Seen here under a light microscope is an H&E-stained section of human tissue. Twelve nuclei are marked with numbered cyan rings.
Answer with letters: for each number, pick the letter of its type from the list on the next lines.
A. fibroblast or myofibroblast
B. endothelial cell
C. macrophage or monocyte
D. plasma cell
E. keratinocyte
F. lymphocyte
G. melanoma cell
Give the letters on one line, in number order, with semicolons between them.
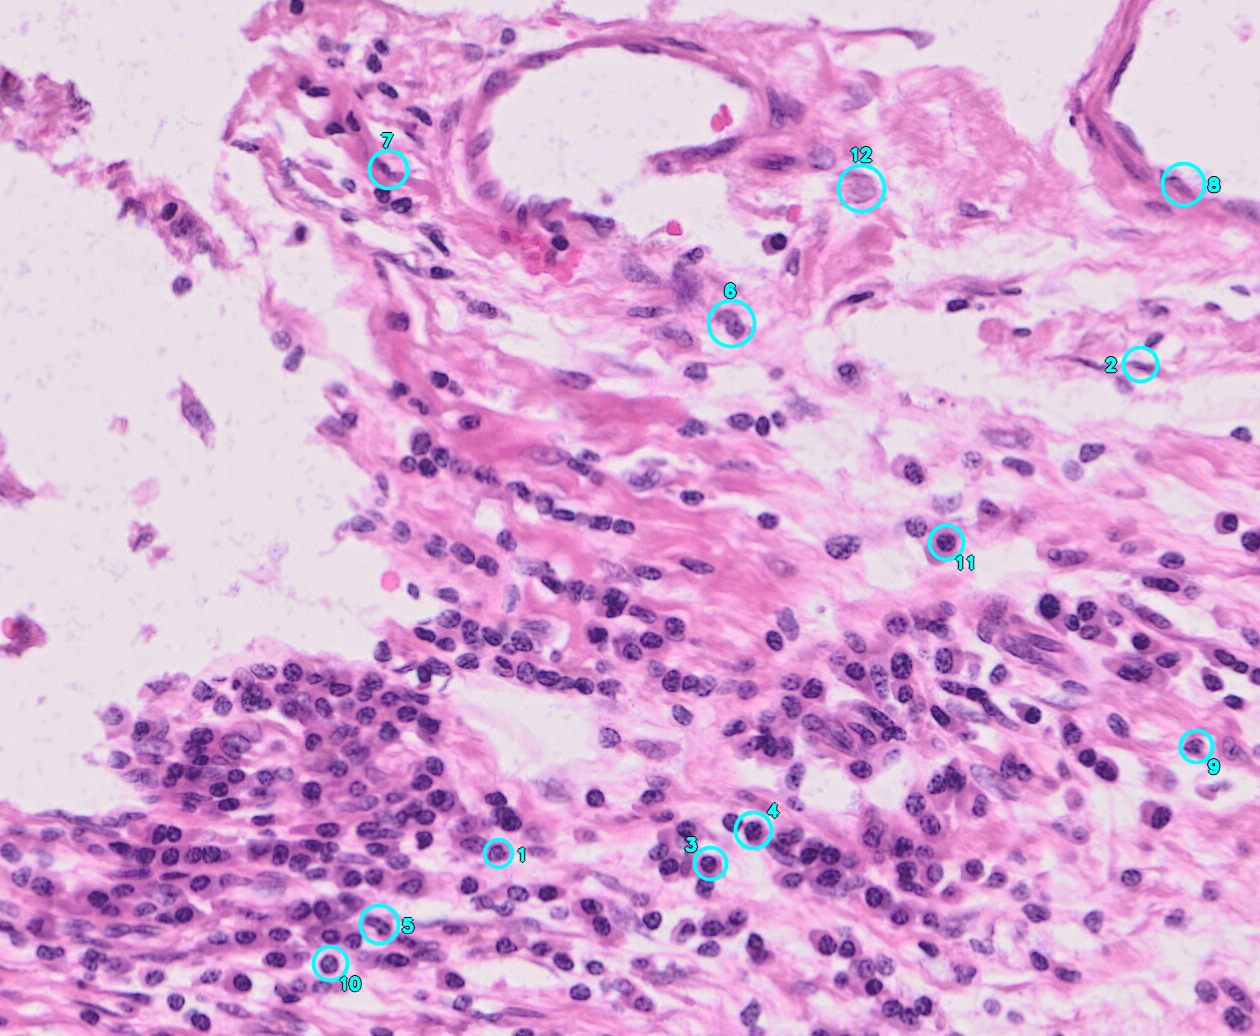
D; A; D; D; D; C; A; B; F; F; D; A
